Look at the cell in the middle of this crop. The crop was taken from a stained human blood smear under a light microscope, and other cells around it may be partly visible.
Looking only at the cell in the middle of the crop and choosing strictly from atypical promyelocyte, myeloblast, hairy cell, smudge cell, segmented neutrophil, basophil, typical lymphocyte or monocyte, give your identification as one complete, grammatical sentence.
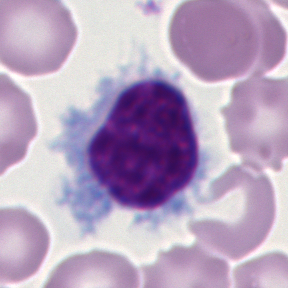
The crop shows a hairy cell in its centre.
